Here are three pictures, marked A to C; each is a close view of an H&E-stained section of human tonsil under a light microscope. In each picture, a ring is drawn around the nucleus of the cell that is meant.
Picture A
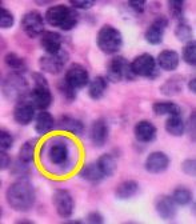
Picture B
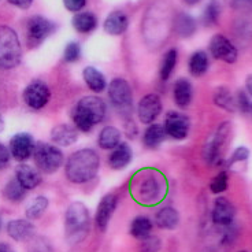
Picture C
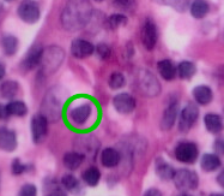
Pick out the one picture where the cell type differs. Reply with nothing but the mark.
A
